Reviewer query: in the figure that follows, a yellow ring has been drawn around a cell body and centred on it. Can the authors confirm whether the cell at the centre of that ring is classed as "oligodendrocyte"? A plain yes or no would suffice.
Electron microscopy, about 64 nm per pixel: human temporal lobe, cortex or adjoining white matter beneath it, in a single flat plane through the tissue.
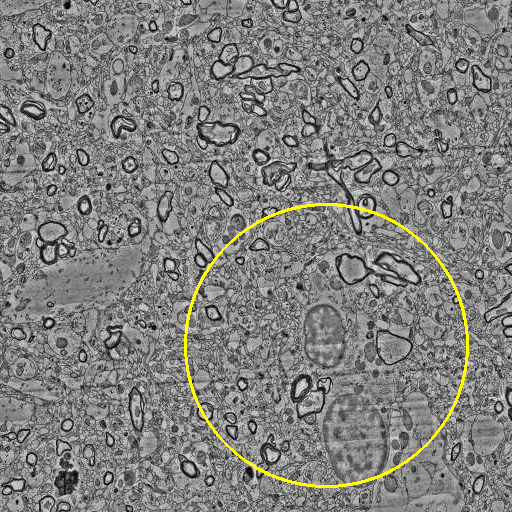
yes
